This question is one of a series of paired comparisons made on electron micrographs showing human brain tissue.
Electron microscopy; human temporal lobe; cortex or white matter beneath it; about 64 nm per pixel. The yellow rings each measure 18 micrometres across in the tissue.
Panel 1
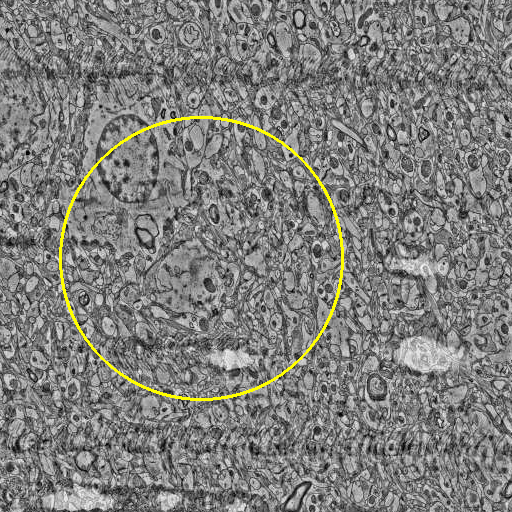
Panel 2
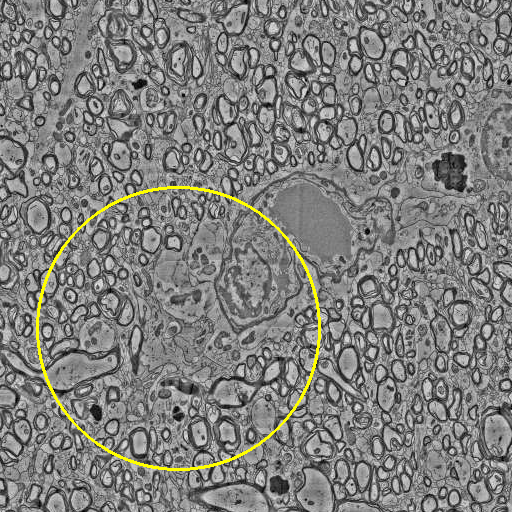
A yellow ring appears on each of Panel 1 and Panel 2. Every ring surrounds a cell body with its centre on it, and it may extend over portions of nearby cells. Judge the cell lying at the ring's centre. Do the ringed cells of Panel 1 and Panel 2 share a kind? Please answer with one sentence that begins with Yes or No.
No, the ring-centre cell in Panel 1 and the one in Panel 2 are of two kinds.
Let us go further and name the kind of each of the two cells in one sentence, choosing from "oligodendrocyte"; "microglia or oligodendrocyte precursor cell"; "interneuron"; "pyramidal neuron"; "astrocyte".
The ring of the first picture is on an astrocyte, the ring of the second on an oligodendrocyte.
